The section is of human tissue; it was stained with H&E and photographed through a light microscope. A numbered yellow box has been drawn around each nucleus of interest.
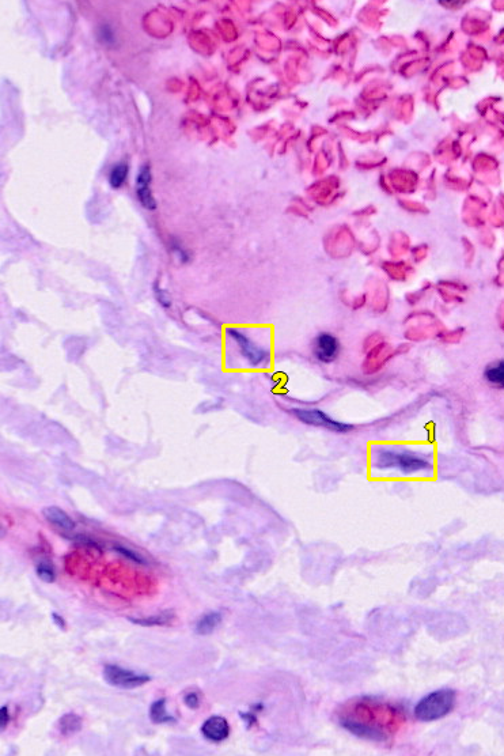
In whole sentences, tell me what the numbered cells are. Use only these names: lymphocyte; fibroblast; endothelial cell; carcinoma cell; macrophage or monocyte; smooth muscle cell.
Cell 1 is a fibroblast. Cell 2 is an endothelial cell.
